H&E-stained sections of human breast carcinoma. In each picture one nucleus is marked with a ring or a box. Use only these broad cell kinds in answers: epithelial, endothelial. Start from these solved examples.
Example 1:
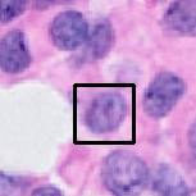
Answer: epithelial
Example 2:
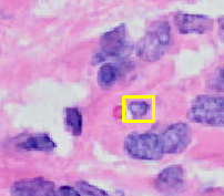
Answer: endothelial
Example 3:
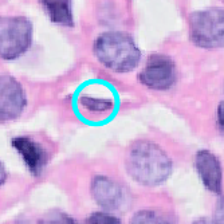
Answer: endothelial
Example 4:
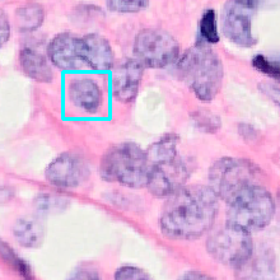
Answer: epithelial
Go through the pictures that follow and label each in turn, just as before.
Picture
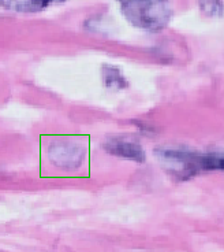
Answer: endothelial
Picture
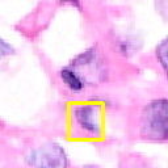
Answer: endothelial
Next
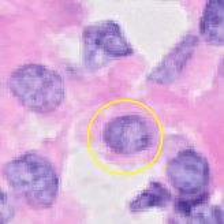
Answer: epithelial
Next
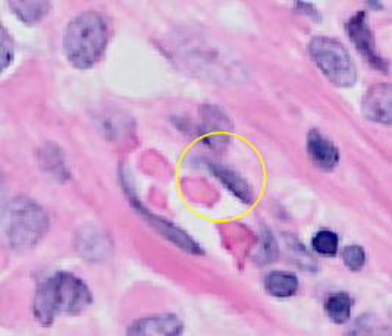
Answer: endothelial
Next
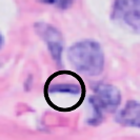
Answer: endothelial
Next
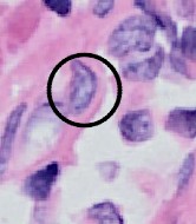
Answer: endothelial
